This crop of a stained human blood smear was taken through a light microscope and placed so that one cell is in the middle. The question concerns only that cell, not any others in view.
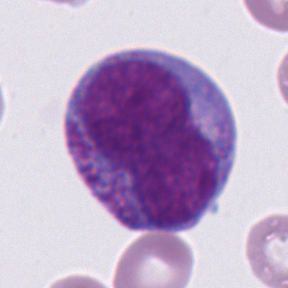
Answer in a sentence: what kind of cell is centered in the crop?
Among the cells in view, the one in the middle is a promyelocyte.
